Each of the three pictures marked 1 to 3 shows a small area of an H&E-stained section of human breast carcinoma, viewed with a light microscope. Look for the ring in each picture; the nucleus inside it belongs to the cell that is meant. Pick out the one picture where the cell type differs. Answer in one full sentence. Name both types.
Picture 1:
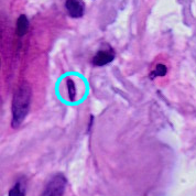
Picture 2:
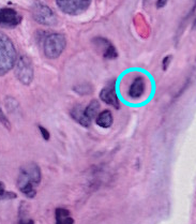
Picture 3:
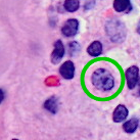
Unlike the rest, which show mast cells, picture 1 shows a fibroblast.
